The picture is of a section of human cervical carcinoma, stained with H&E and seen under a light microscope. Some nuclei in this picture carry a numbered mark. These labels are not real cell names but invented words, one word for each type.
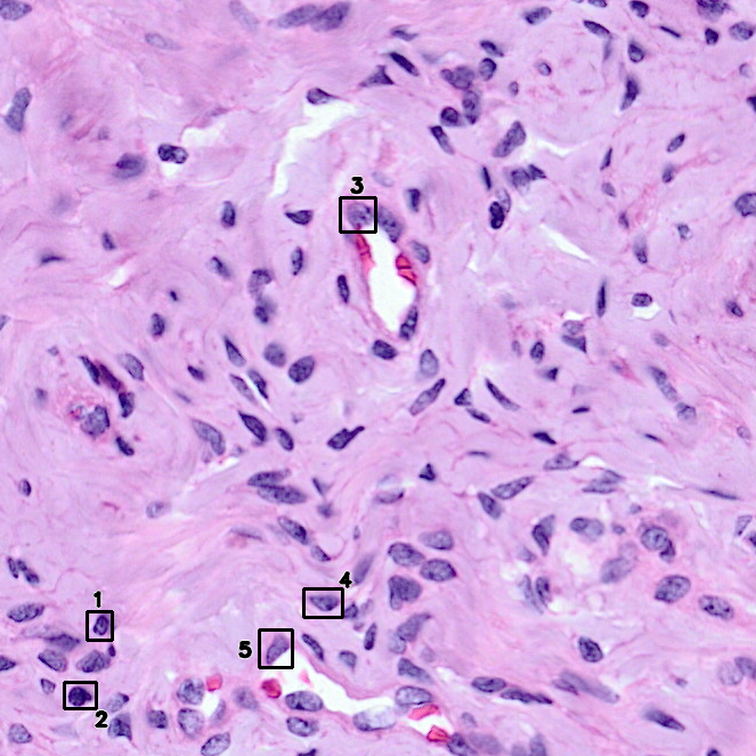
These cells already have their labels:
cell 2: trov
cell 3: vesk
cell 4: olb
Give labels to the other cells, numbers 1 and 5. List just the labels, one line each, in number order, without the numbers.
olb
vesk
